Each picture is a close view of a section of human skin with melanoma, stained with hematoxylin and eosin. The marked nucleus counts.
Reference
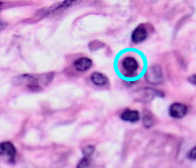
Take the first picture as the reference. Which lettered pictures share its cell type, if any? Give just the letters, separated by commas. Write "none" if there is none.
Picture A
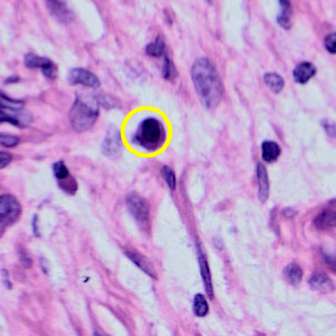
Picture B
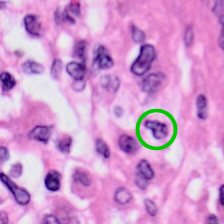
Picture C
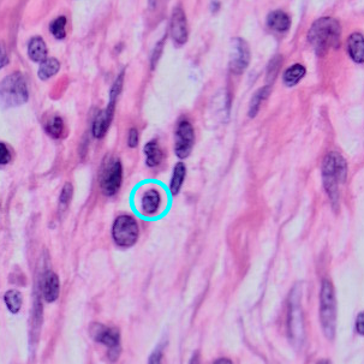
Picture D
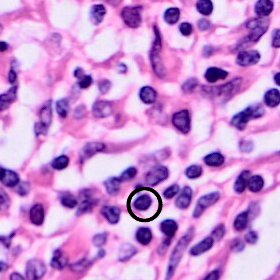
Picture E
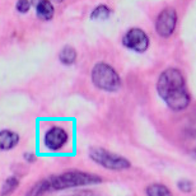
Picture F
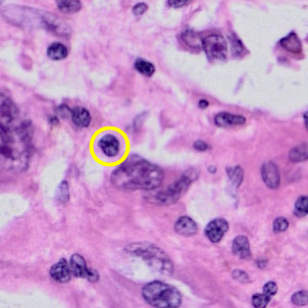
A, C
